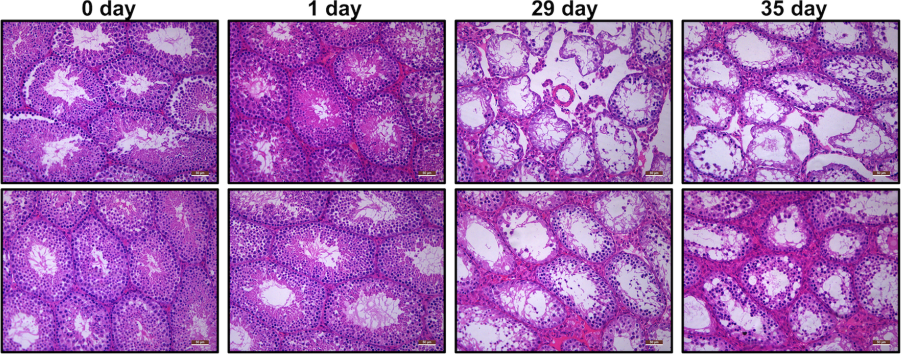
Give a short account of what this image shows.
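In the two left columns the tubules are packed with many layers of germ cells with purple nuclei, and their central lumina hold pale pink strands. In the two right columns many tubules have only a thin epithelial lining around wide, pale lumina that hold little content, and the spaces between tubules are widened; this loss is more marked in the top row than in the bottom row.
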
